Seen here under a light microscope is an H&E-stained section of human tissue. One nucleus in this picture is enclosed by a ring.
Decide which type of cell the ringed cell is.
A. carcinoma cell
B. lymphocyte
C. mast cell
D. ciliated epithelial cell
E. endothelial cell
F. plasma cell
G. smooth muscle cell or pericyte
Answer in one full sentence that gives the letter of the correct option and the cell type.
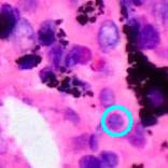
Option B wins here: the ringed cell is a lymphocyte.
